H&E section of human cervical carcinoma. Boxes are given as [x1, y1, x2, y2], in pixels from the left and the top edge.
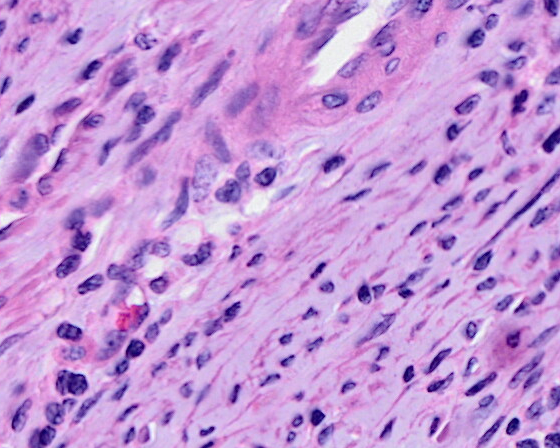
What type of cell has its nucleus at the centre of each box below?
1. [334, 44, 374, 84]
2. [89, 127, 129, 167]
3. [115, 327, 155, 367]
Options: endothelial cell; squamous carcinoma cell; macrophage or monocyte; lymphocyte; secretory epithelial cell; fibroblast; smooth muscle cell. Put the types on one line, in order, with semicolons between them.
endothelial cell; fibroblast; lymphocyte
